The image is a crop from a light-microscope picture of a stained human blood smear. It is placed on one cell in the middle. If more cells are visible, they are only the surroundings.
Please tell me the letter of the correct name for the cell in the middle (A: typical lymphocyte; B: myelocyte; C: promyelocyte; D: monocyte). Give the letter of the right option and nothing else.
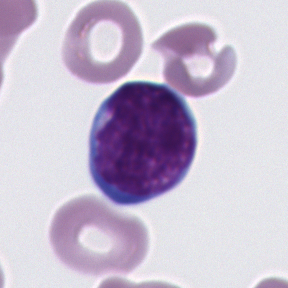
A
